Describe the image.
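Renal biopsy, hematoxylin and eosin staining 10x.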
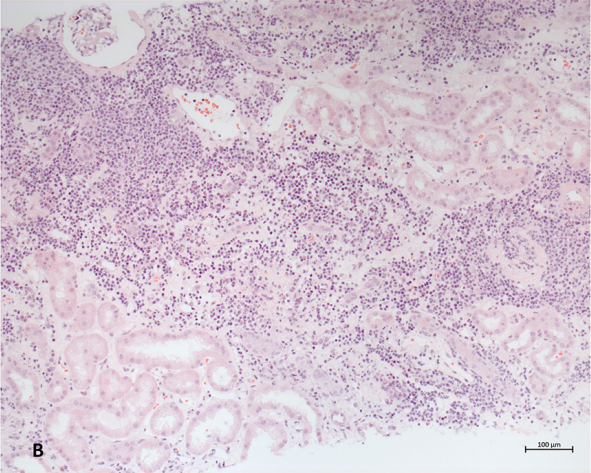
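This is kidney cortex in which the interstitium is crowded by dense sheets of small round cells with dark purple nuclei and scant cytoplasm, like small lymphocytes. The infiltrate separates and surrounds tubules lined by pink cuboidal epithelium, some of which appear small and set in pale, loose stroma. A glomerulus with its capillary tuft in a clear capsular space lies near the top edge.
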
